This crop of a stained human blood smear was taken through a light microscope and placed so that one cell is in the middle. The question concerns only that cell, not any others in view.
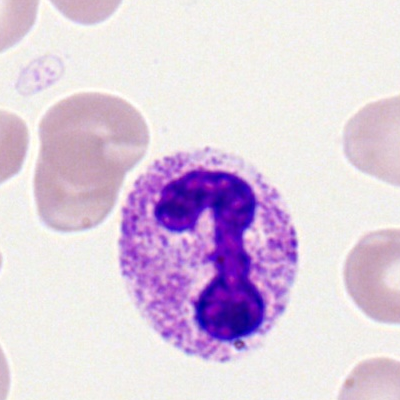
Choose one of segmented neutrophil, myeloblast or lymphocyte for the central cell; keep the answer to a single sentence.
The center cell of this crop is a segmented neutrophil.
